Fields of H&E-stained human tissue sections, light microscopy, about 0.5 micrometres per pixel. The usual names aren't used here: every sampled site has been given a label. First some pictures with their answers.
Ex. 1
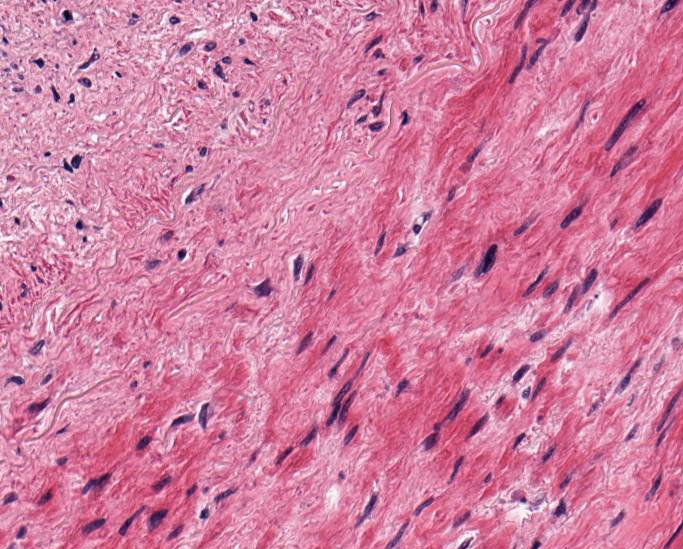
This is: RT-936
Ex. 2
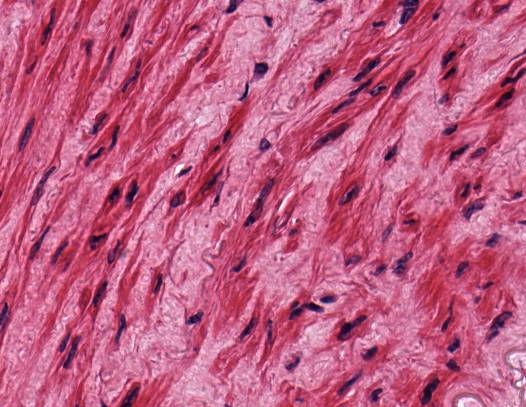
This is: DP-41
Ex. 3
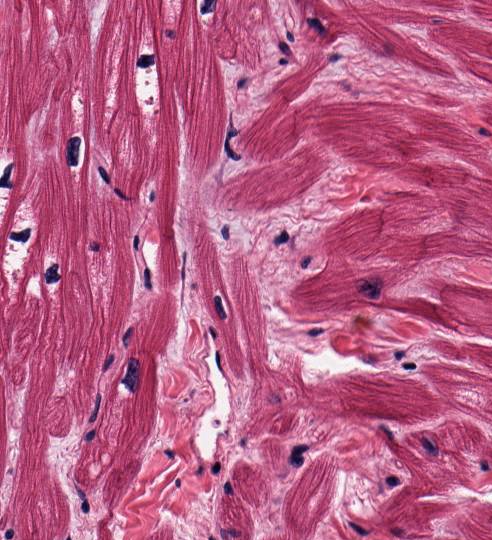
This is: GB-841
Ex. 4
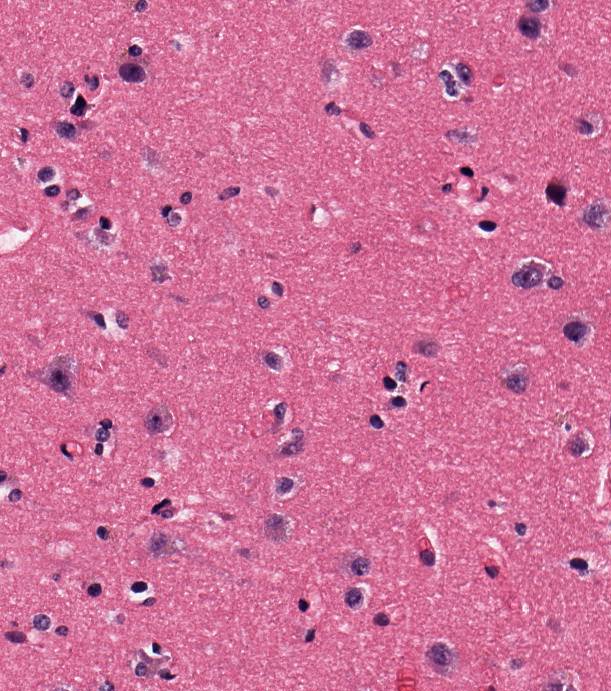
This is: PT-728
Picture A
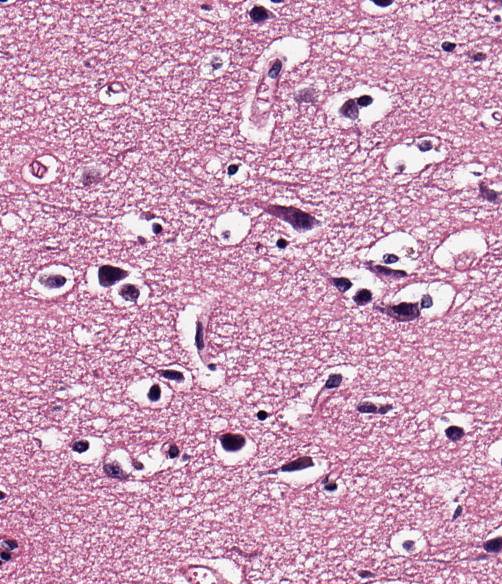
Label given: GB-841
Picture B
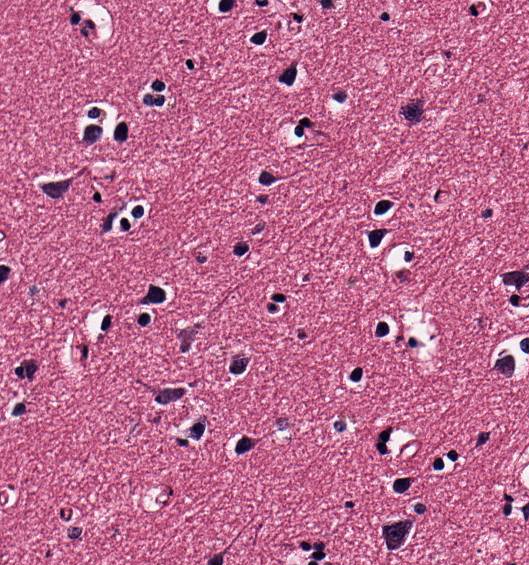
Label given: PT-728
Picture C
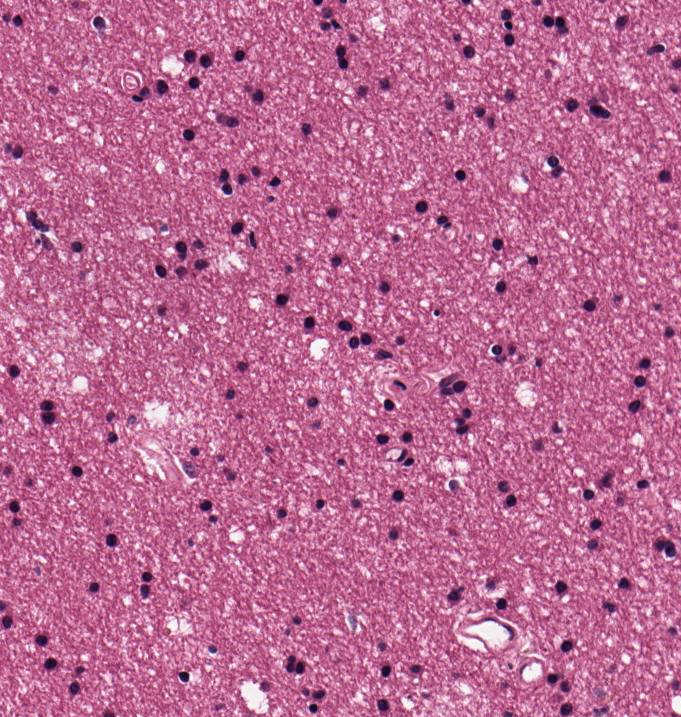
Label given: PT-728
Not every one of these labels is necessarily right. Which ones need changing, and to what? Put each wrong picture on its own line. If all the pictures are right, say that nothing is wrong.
A is labelled GB-841; correct label: PT-728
